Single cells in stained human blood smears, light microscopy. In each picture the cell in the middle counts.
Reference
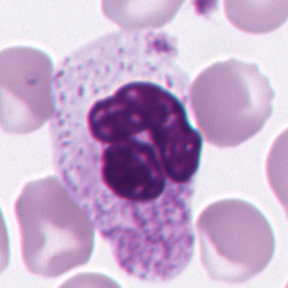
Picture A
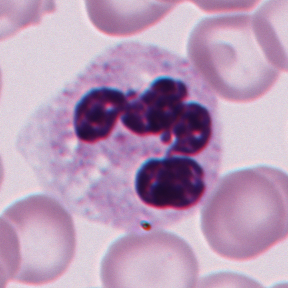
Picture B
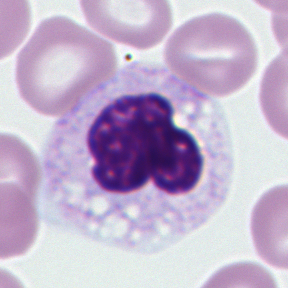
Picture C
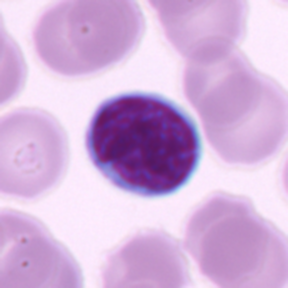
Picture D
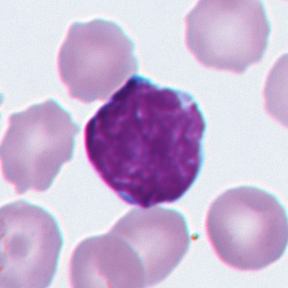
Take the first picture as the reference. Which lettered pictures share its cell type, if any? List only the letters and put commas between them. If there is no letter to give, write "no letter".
A, B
